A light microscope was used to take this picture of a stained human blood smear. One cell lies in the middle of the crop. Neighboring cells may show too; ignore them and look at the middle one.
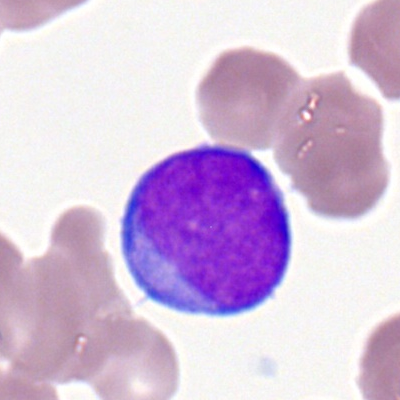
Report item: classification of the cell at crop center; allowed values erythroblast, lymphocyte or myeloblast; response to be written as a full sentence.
The cell at the centre of the field is a myeloblast.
